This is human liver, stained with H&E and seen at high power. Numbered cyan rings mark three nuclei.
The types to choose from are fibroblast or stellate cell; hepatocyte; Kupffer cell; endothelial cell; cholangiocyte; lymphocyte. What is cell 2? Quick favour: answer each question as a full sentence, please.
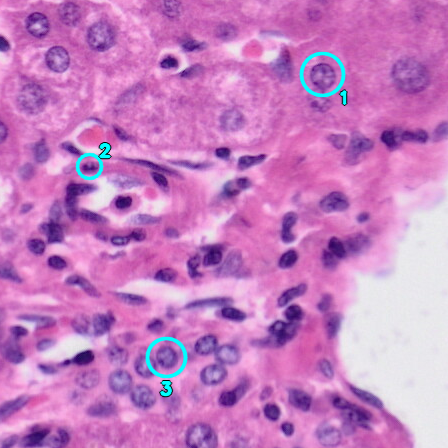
Marked with the number 2, this cell is a fibroblast or stellate cell.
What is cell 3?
Marked with the number 3, this cell is a cholangiocyte.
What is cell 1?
The cell marked with the number 1 is a hepatocyte.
